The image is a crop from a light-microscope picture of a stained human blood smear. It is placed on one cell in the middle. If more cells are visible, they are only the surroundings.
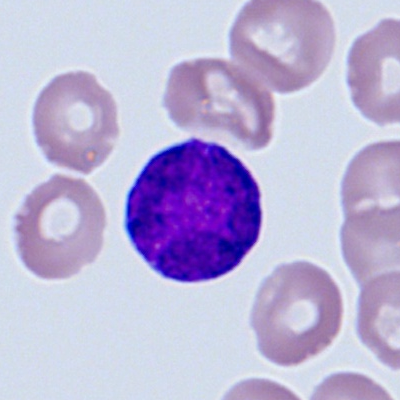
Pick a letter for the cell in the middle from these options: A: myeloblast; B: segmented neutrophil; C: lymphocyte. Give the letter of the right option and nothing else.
C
